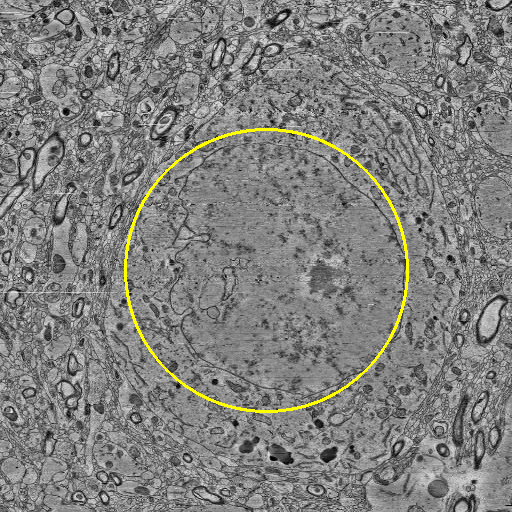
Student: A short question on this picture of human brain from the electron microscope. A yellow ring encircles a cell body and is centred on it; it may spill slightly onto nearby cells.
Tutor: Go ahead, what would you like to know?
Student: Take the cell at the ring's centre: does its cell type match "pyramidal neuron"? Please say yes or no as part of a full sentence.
Yes, in the picture, the cell at the ring's centre has that cell type.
